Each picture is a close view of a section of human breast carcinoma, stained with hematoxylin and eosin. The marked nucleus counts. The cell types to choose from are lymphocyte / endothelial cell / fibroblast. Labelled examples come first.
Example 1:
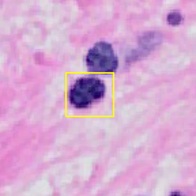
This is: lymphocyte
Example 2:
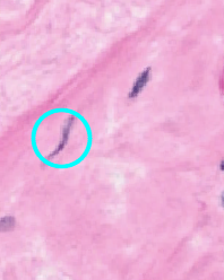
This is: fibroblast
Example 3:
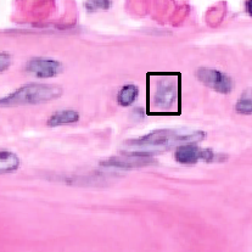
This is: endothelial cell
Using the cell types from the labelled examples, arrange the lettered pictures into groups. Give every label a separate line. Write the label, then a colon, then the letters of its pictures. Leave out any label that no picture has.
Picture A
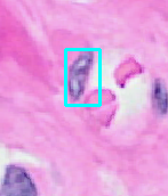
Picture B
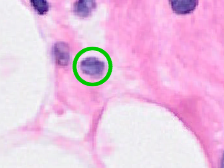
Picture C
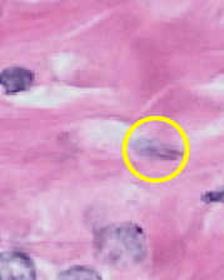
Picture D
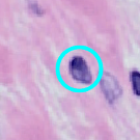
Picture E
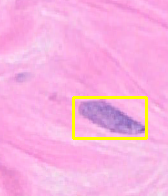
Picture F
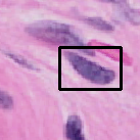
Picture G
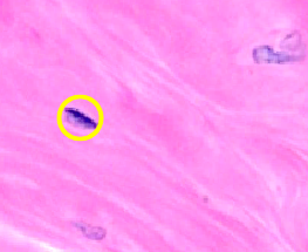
lymphocyte: B, D
endothelial cell: A, F
fibroblast: C, E, G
